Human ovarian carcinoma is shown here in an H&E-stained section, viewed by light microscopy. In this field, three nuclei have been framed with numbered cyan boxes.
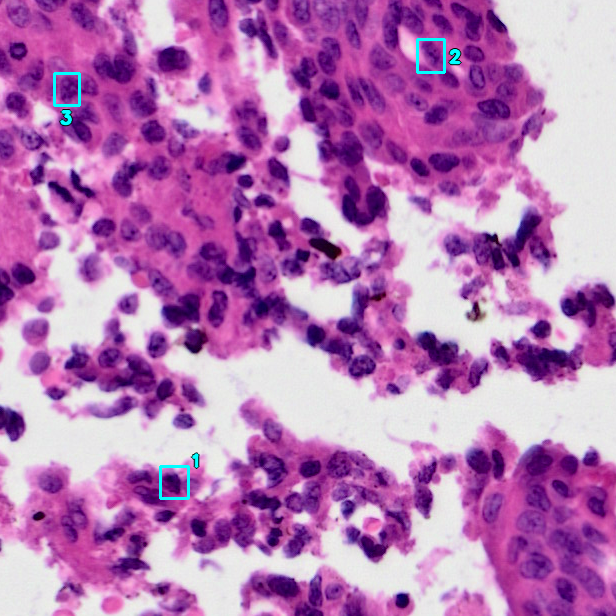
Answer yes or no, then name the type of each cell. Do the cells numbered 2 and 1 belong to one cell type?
No, cell 2 is typed as a carcinoma cell, and cell 1 is typed as a macrophage or monocyte.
